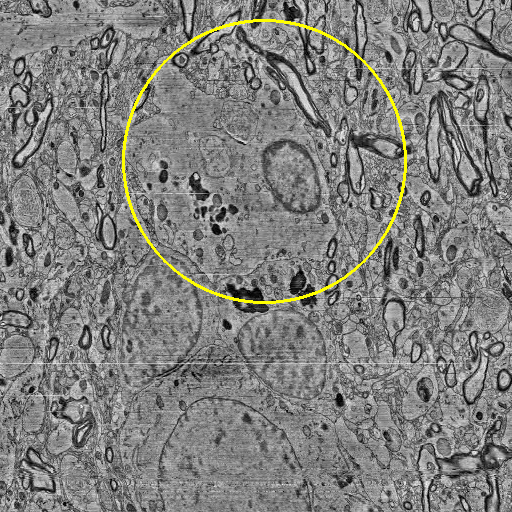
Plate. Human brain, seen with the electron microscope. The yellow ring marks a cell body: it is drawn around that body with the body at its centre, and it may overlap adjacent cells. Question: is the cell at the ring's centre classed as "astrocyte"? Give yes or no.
yes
